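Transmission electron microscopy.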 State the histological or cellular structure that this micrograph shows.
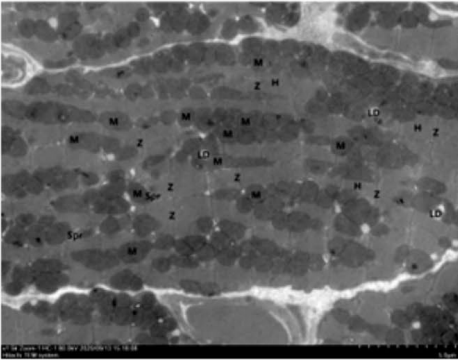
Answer: Myofibrils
